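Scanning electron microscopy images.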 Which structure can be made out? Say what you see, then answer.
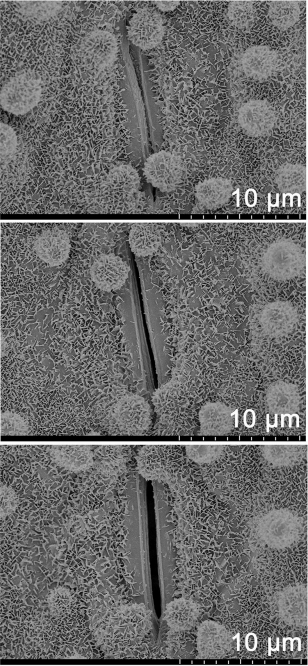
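Stomatal apertures. Each image shows a single elongated slit-like pore at its centre. The pore is bordered on both sides by a pair of elongated cells. The width of the slit differs among the three images, from nearly shut to clearly open.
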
